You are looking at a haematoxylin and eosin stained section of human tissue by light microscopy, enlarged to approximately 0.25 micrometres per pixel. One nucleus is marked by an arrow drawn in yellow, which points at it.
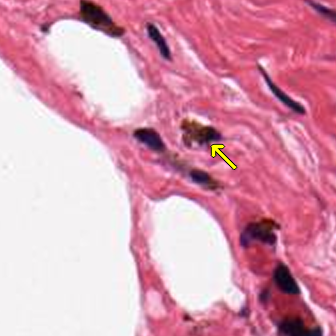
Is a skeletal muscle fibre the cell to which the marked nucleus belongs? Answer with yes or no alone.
no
